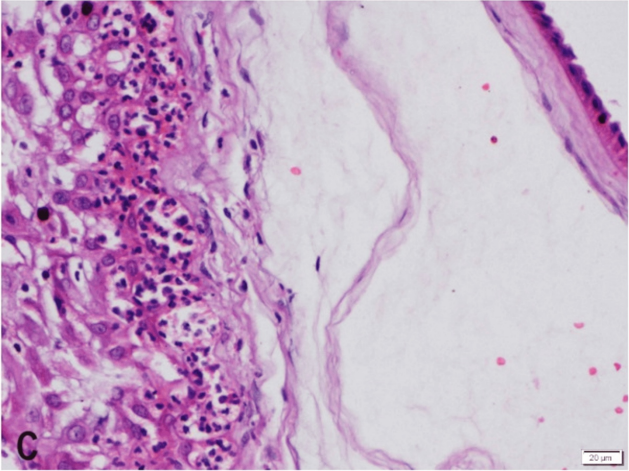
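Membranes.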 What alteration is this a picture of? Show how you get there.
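Acute chorionitis. Clusters of small cells with dark, lobed nuclei lie among larger polygonal pale cells on the left. The pale loose layer in the middle is nearly free of cells. The lining epithelium on the right has no inflammatory cells beneath it.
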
